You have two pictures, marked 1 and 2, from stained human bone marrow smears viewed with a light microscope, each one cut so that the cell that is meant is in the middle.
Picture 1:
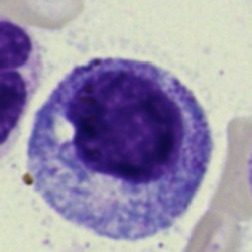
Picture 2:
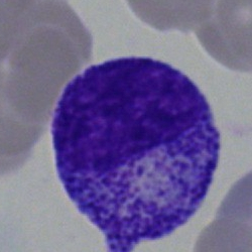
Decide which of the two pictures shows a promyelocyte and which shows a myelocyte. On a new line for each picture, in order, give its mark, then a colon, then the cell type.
1: myelocyte
2: promyelocyte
